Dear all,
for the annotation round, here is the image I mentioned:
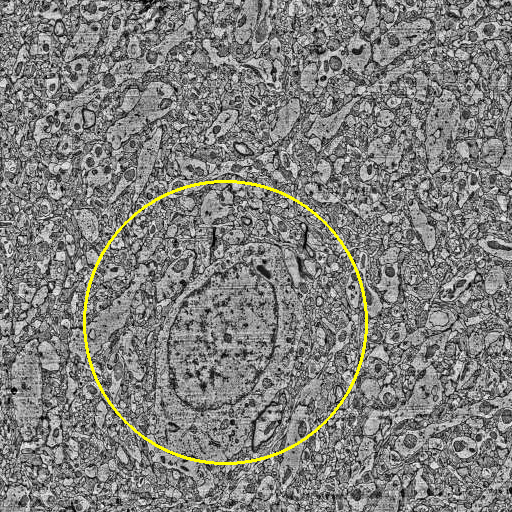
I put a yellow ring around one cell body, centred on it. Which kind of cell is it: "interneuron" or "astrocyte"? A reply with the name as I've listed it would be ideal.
interneuron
